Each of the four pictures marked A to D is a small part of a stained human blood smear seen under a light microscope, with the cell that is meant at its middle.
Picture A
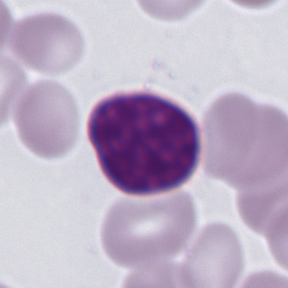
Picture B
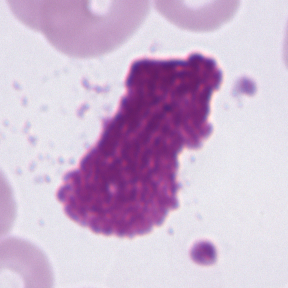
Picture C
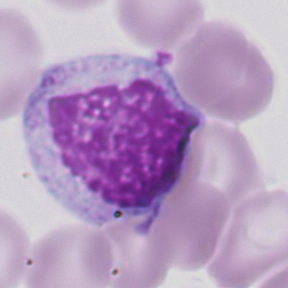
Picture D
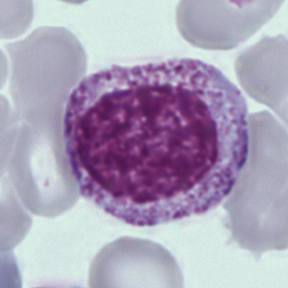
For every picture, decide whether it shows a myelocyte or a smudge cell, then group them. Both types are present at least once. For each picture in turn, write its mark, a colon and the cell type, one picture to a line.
A: smudge cell
B: smudge cell
C: myelocyte
D: myelocyte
